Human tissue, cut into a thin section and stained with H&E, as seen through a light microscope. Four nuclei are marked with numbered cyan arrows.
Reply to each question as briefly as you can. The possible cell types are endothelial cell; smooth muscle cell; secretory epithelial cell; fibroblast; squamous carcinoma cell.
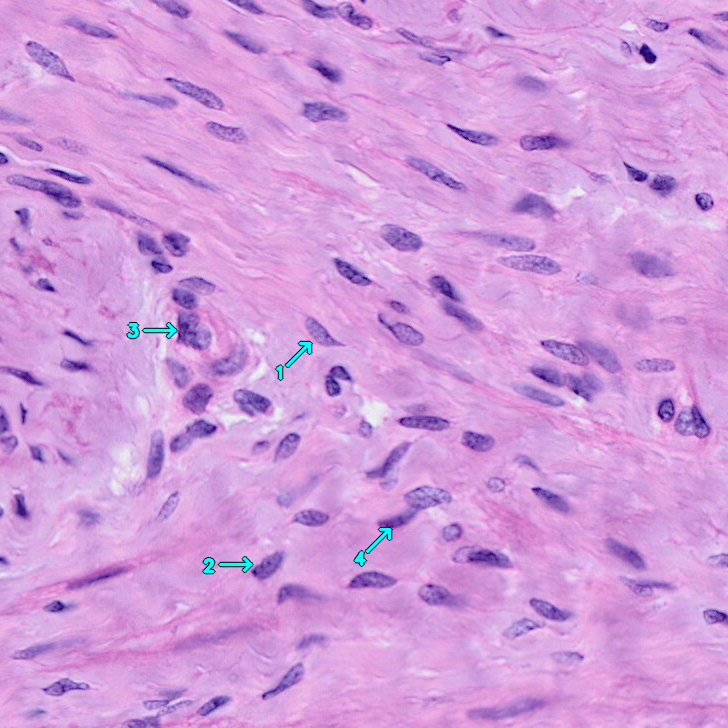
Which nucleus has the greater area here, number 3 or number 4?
3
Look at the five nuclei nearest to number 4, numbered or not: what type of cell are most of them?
fibroblast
